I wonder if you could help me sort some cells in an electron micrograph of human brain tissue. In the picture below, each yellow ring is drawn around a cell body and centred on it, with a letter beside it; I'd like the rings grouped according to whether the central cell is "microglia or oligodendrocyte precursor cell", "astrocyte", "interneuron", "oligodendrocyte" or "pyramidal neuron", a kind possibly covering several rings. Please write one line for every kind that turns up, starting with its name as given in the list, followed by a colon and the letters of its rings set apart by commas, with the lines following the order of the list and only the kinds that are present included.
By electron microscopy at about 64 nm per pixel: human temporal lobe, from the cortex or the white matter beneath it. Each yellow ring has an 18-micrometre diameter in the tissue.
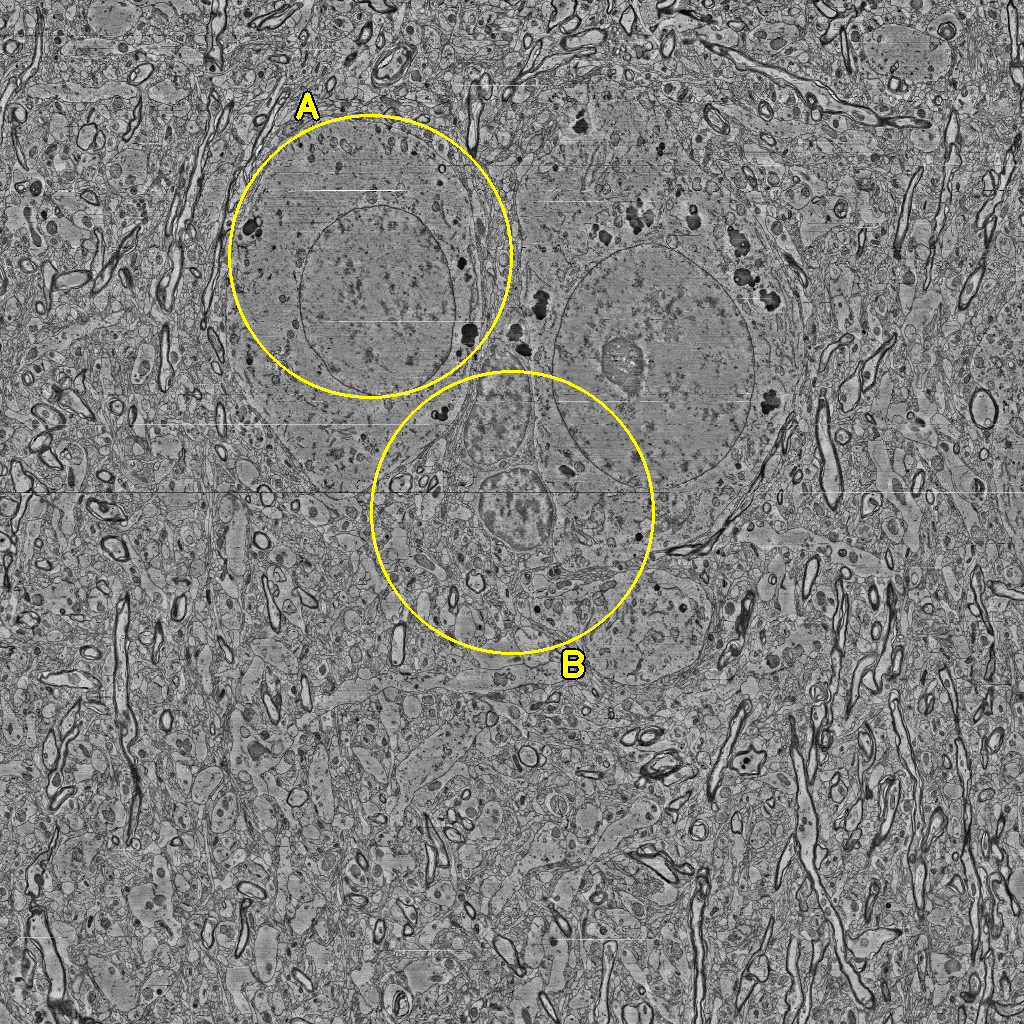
oligodendrocyte: B
pyramidal neuron: A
